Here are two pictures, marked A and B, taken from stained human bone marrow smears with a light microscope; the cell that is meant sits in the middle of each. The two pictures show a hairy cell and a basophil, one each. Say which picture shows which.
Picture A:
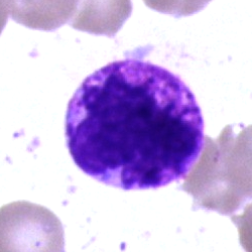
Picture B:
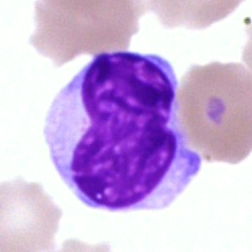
A: basophil
B: hairy cell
